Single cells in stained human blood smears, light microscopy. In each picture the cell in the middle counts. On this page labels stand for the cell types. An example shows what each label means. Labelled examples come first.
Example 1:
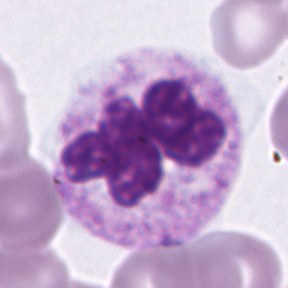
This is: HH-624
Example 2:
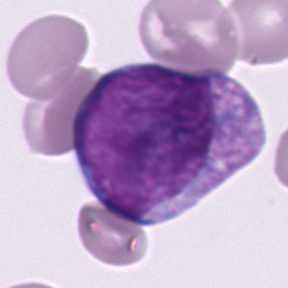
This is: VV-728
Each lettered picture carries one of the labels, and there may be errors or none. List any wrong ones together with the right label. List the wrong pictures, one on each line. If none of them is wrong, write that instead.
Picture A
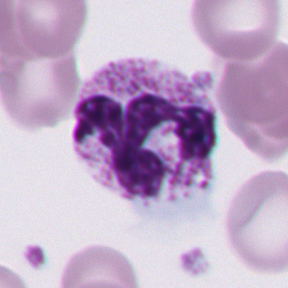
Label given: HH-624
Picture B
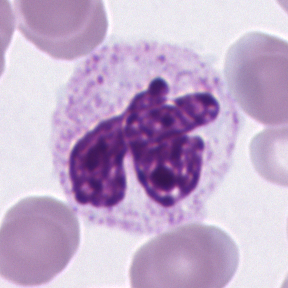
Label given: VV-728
B: change VV-728 to HH-624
